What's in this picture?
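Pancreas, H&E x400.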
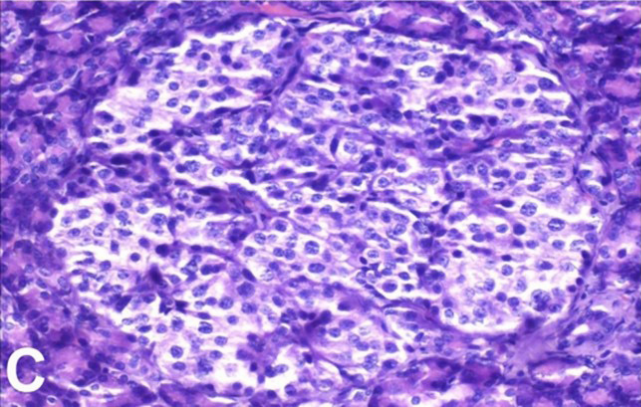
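A large rounded nest of enlarged islet cells is seen, surrounded at its edges by darker purple pancreatic acinar tissue. The islet cells are polygonal and packed in cords and small groups separated by fine strands. Their cytoplasm is pale and clear, giving the nest a much lighter look than the surrounding tissue. The nuclei are round to oval, mildly enlarged, with some irregular contours and dark chromatin.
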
